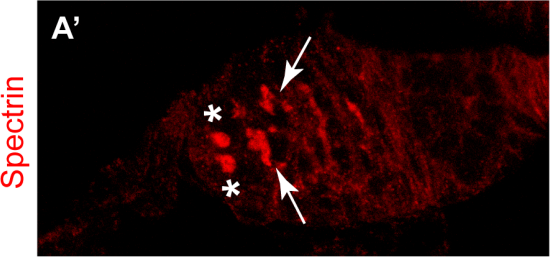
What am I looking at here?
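At the tip, a few small, compact, round bright red dots sit in neighbouring cells. Just posterior to them lie larger, irregular, bright red bodies with short extensions, the branched fusomes of differentiating cysts. Further posterior, the red signal becomes a fine, fibrous meshwork outlining cells across the widening tissue, with faint background in the surrounding sheath.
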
